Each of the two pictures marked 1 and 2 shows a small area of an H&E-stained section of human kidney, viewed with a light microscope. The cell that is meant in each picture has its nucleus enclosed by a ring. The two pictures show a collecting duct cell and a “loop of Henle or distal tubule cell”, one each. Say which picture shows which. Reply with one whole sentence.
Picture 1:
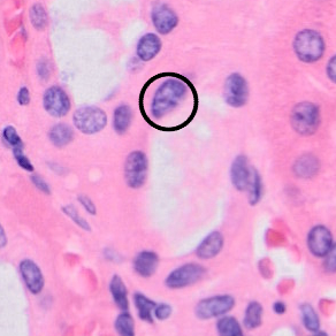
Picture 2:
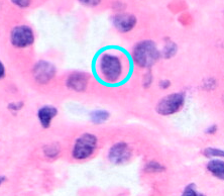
In picture 1 the cell is a collecting duct cell; in picture 2, a “loop of Henle or distal tubule cell”.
